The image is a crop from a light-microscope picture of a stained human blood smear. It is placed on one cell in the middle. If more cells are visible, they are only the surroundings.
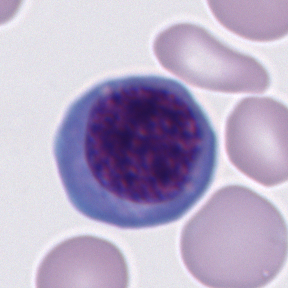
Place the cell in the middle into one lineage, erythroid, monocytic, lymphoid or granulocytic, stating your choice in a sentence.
Regarding the central cell, its lineage is erythroid.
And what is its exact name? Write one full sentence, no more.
The centrally positioned cell in the crop represents a normoblast.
